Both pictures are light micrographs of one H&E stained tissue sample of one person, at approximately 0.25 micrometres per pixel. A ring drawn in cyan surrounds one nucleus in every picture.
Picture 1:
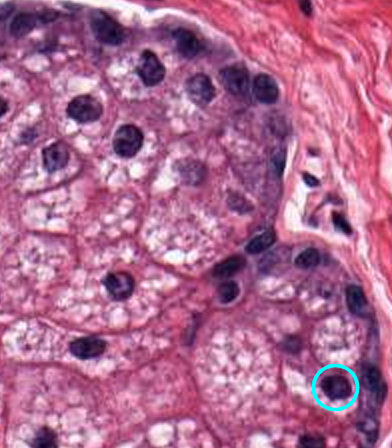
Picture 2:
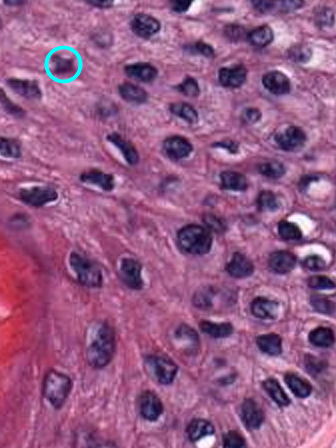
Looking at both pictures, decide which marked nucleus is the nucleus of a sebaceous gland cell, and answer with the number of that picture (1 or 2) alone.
1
